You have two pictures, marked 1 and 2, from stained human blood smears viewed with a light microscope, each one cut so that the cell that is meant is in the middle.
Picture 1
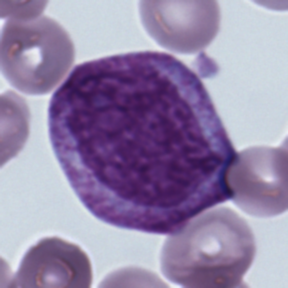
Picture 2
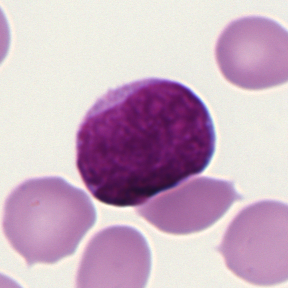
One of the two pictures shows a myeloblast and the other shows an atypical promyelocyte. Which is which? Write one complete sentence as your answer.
Picture 2 shows a myeloblast, while picture 1 shows an atypical promyelocyte.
